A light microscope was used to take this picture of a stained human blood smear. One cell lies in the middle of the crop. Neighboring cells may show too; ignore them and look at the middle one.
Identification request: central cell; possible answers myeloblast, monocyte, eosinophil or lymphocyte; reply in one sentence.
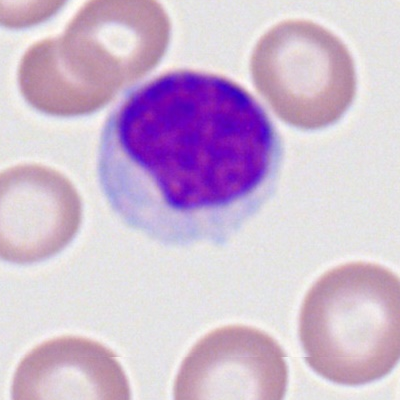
The cell occupying the middle of the crop is a lymphocyte.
